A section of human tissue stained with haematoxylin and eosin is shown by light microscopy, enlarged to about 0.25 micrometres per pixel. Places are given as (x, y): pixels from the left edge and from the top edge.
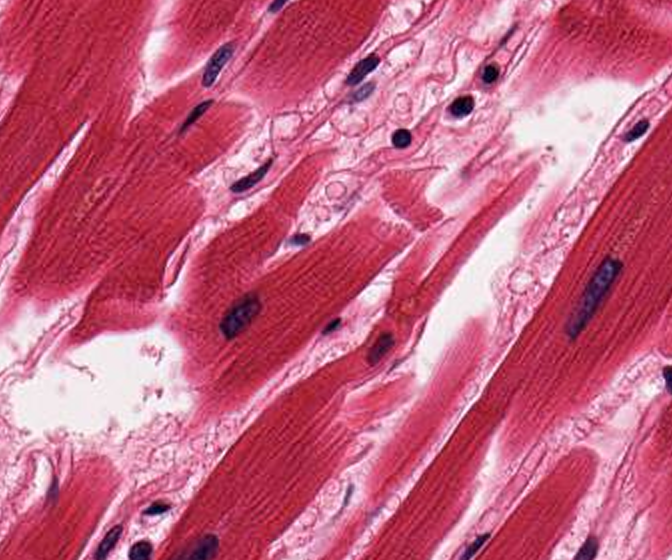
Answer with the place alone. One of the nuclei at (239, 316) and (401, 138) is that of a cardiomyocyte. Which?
(239, 316)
